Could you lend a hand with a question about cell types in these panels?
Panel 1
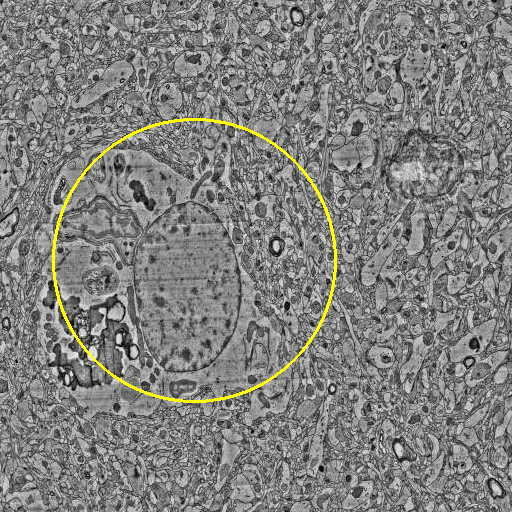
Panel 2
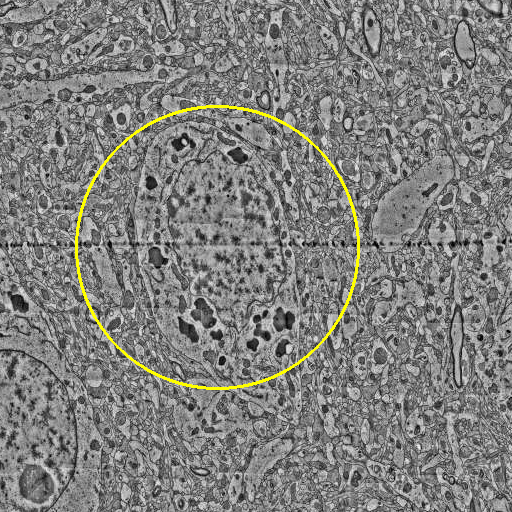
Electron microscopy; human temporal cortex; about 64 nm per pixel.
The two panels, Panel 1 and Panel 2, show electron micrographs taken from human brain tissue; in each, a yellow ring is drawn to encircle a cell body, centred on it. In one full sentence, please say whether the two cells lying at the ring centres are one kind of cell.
No, the cells at the ring centres in the two panels are two kinds of cell.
